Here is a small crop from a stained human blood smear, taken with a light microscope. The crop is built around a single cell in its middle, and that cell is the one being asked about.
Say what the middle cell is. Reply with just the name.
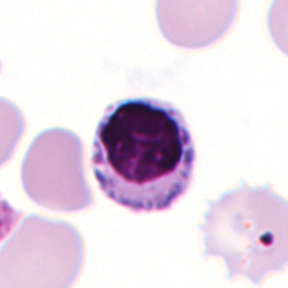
normoblast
